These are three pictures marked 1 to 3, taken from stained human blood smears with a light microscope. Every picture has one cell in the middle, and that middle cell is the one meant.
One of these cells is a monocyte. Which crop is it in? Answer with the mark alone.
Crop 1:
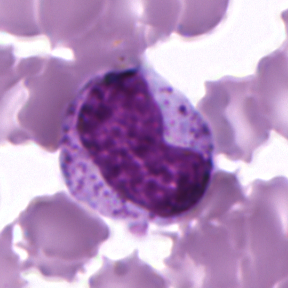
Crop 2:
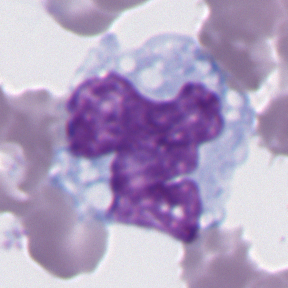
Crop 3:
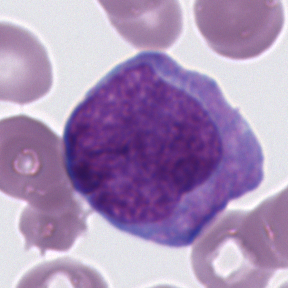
2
